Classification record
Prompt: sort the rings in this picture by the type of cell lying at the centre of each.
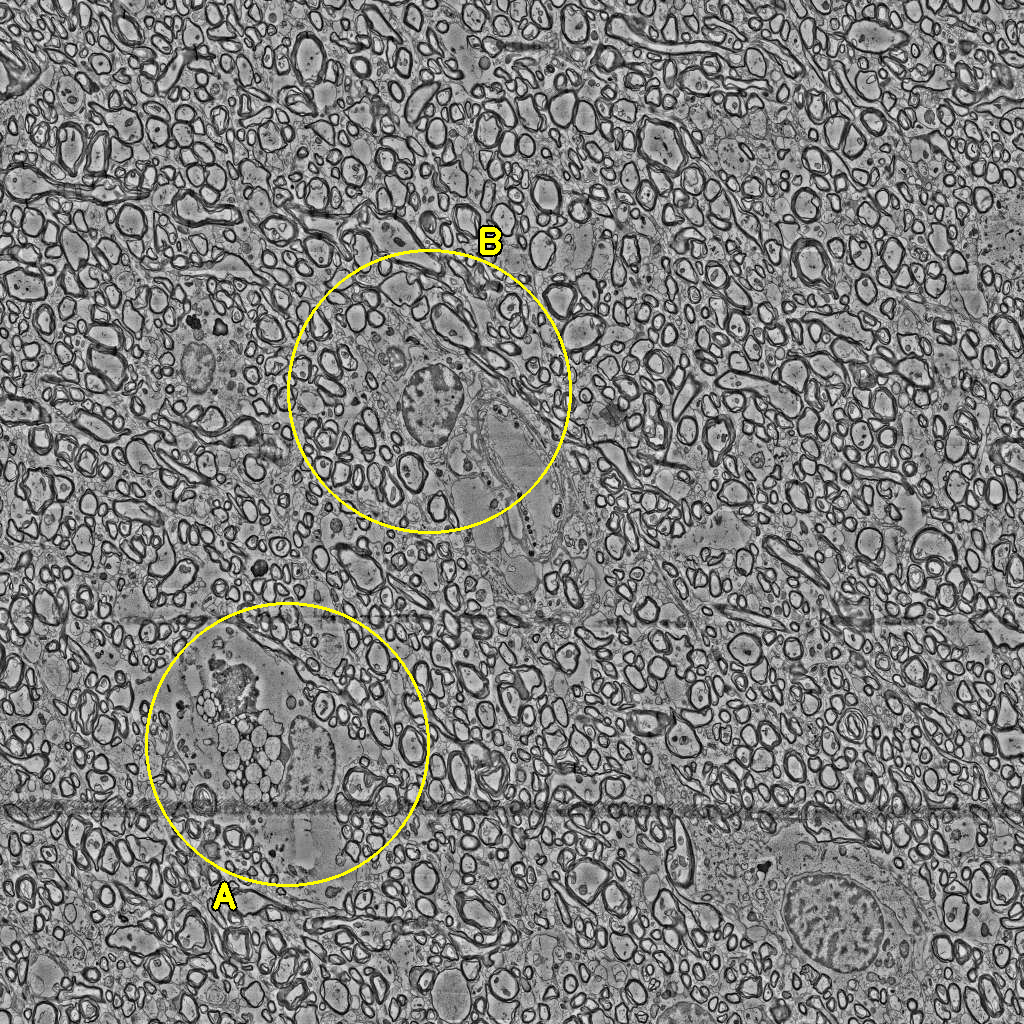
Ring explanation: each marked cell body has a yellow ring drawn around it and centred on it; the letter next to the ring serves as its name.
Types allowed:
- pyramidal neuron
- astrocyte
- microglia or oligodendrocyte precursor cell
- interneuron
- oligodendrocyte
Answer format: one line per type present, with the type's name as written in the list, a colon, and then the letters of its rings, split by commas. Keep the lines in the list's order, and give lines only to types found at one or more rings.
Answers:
astrocyte: A
microglia or oligodendrocyte precursor cell: B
